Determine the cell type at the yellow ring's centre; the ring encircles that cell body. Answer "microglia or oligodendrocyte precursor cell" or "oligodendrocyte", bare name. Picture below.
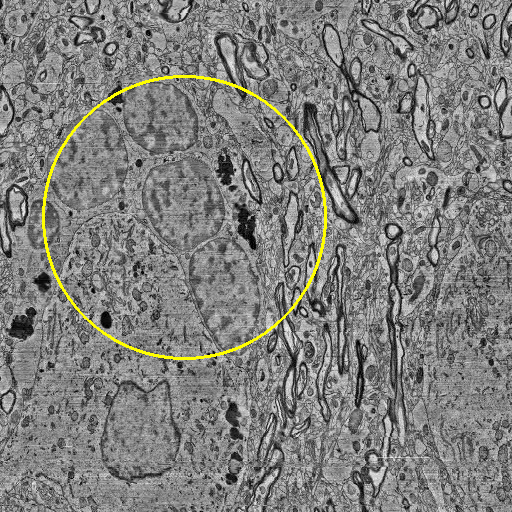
oligodendrocyte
